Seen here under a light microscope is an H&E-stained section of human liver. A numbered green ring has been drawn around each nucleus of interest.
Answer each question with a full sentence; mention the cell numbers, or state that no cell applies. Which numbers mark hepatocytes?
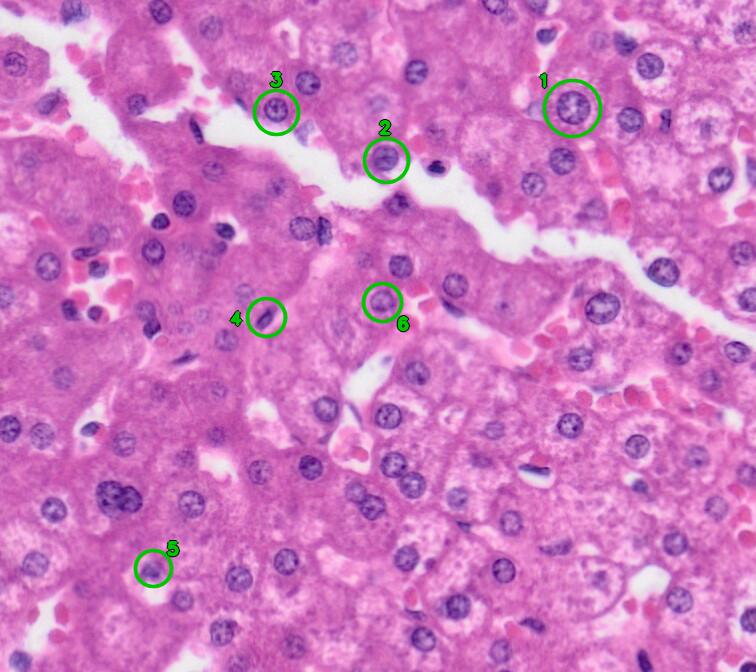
Regarding the numbered cells 1, 2, 3 and 6, these are hepatocytes.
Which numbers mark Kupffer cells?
Among all the marked cells, a Kupffer cell is found only at number 5.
